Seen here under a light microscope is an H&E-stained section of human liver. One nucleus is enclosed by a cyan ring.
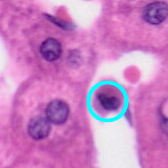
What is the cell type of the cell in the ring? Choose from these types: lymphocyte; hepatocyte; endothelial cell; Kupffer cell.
Kupffer cell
